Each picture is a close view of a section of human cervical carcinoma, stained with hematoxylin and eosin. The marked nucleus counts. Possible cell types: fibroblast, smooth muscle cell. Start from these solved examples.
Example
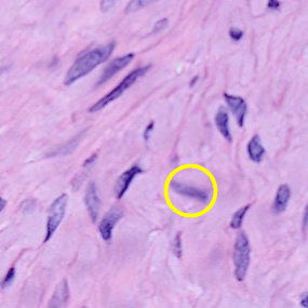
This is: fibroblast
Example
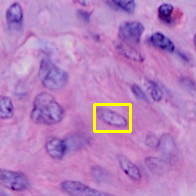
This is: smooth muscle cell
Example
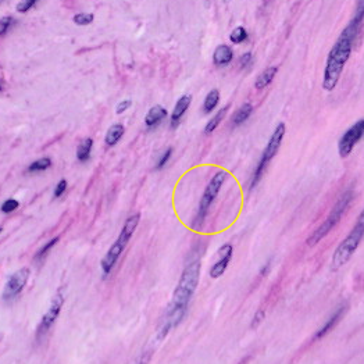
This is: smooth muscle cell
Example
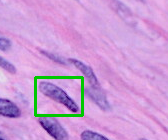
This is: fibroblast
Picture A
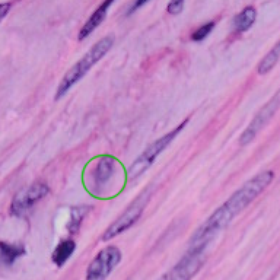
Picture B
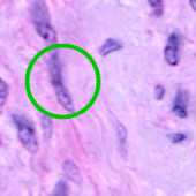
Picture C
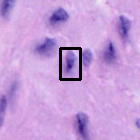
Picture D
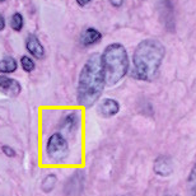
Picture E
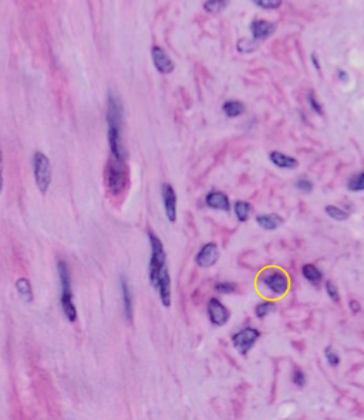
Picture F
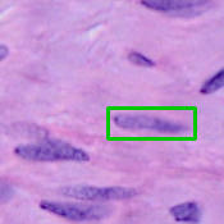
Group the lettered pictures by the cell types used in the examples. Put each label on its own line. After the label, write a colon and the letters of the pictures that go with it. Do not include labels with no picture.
fibroblast: C, F
smooth muscle cell: A, B, D, E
